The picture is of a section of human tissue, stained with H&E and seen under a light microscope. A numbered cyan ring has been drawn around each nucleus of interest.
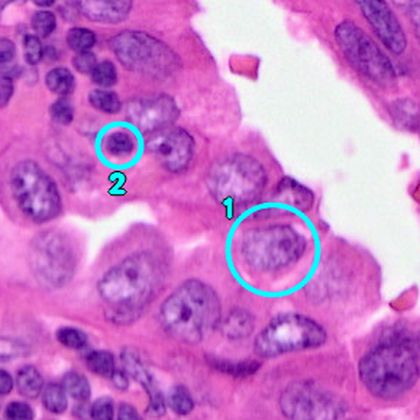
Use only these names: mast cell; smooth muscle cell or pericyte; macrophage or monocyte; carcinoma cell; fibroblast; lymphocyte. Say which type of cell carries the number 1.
carcinoma cell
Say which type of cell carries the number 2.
lymphocyte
